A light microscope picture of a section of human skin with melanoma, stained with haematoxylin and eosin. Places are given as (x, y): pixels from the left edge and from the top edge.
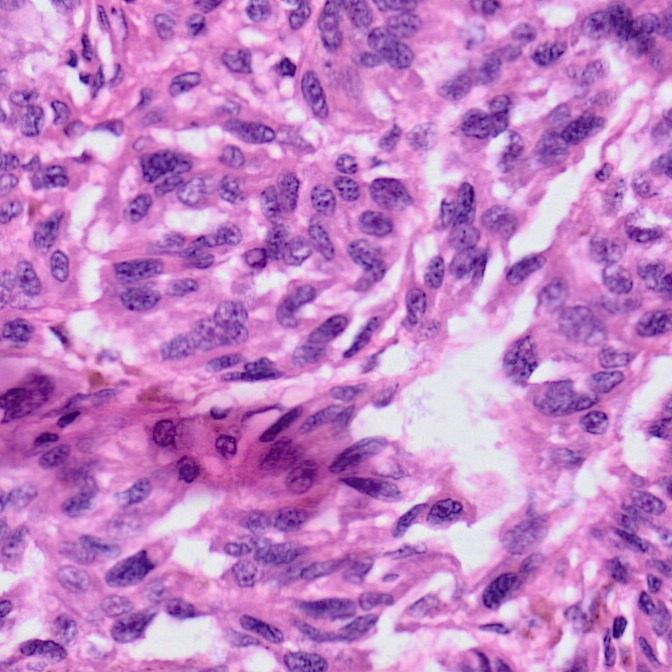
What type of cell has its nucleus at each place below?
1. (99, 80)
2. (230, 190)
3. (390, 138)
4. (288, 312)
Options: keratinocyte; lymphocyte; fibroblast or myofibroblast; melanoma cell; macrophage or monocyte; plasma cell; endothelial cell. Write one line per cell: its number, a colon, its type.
1: endothelial cell
2: melanoma cell
3: melanoma cell
4: melanoma cell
